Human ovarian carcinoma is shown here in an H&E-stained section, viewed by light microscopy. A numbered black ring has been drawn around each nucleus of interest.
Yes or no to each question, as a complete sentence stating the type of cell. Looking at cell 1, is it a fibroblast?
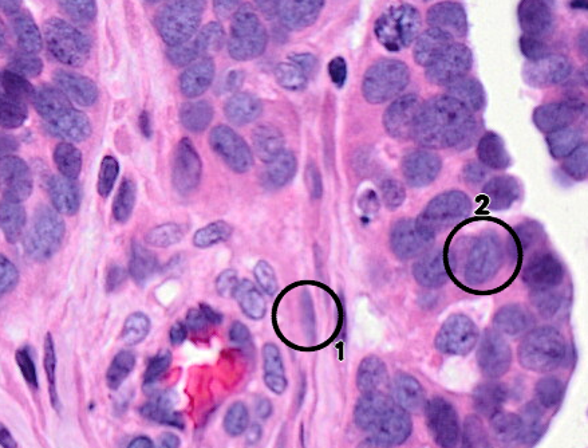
Yes, the cell whose nucleus carries number 1 is a fibroblast.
